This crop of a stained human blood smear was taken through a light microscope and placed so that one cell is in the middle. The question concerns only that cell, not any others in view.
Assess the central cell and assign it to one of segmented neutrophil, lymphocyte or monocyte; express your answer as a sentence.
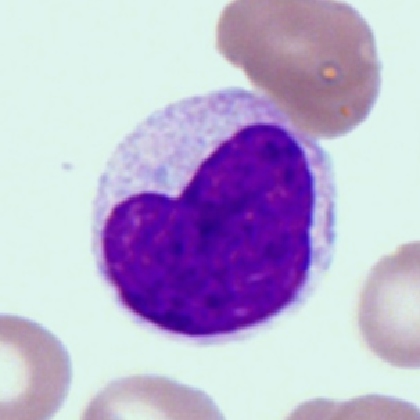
Among the cells in view, the one in the middle is a lymphocyte.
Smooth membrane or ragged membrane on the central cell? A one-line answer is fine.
No projections interrupt the outline; it is smooth all the way round.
